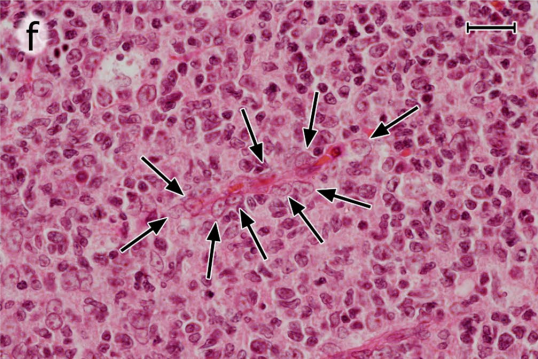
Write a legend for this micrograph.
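A small capillary runs diagonally through the field and contains red-pink red blood cells. Along its wall lie cells with elongated, paler nuclei that hug the capillary closely. These pericapillary cells stand out from the rounder, darker nuclei of the surrounding lymphoid cells.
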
